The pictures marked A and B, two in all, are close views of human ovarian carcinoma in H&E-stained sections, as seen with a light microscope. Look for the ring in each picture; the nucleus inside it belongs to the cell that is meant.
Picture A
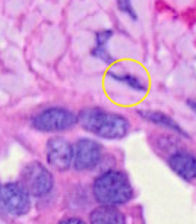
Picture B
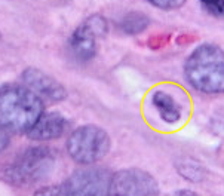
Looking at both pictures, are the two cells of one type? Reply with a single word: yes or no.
no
